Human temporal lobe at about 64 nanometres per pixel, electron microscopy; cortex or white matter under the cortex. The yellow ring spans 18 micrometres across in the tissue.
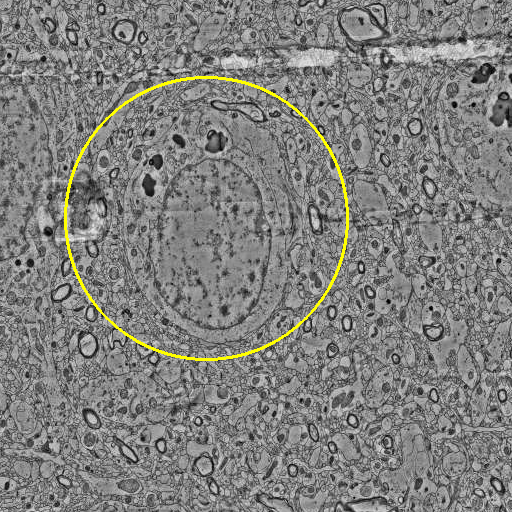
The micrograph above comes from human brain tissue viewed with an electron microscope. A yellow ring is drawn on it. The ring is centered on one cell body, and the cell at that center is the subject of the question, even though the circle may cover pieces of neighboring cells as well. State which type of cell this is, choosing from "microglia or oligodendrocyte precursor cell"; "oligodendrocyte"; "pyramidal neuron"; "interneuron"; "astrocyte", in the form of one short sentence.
The cell the ring is centered on is an interneuron.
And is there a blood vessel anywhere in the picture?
No, none appears.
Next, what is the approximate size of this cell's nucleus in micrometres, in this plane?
Roughly 11 by 8 micrometres in this plane, for the nucleus of the ringed cell.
